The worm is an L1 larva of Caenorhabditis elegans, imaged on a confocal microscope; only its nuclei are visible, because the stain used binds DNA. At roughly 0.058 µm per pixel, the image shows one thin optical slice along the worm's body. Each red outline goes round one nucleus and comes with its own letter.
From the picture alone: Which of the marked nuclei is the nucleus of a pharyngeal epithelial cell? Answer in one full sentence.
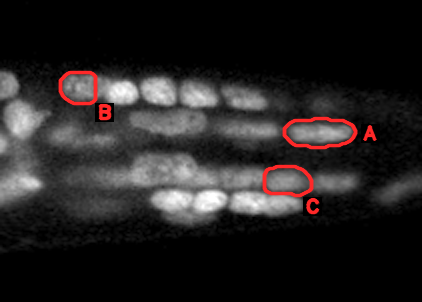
Of the marked nuclei, A is the one in a pharyngeal epithelial cell.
